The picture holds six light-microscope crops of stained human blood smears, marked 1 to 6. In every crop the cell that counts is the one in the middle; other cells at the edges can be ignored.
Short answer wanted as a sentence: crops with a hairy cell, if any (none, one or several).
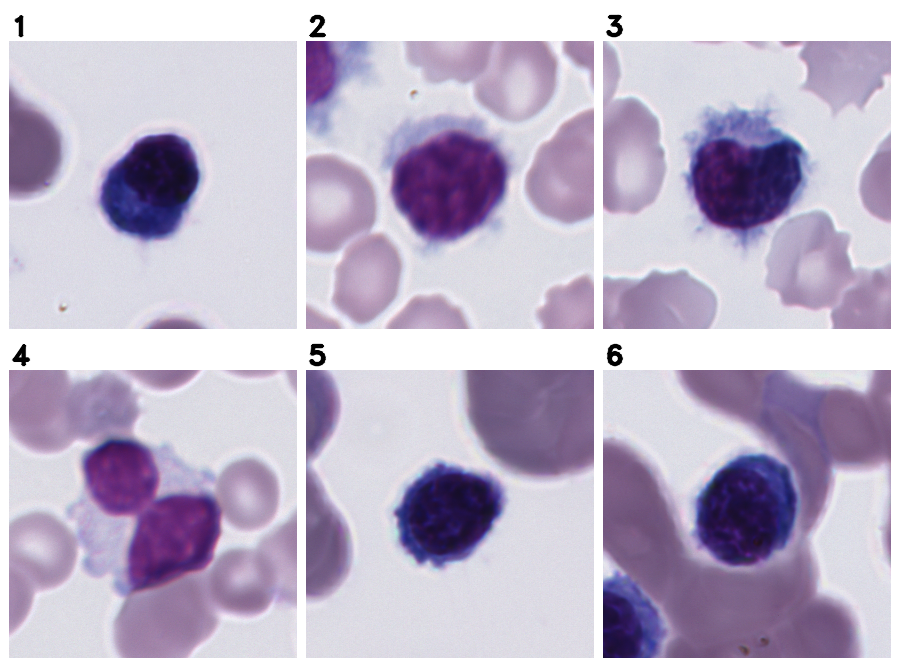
Here, the cells at the centre of crops 2 and 3 are hairy cells.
